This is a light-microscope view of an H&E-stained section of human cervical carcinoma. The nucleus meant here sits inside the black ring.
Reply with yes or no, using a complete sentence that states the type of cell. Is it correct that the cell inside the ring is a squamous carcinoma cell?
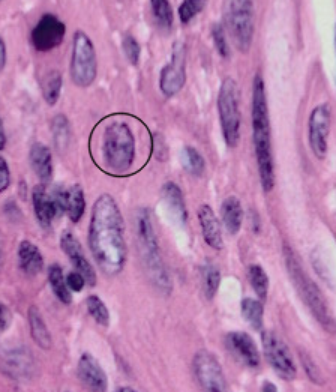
Yes, the cell inside the ring is, by type, a squamous carcinoma cell.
